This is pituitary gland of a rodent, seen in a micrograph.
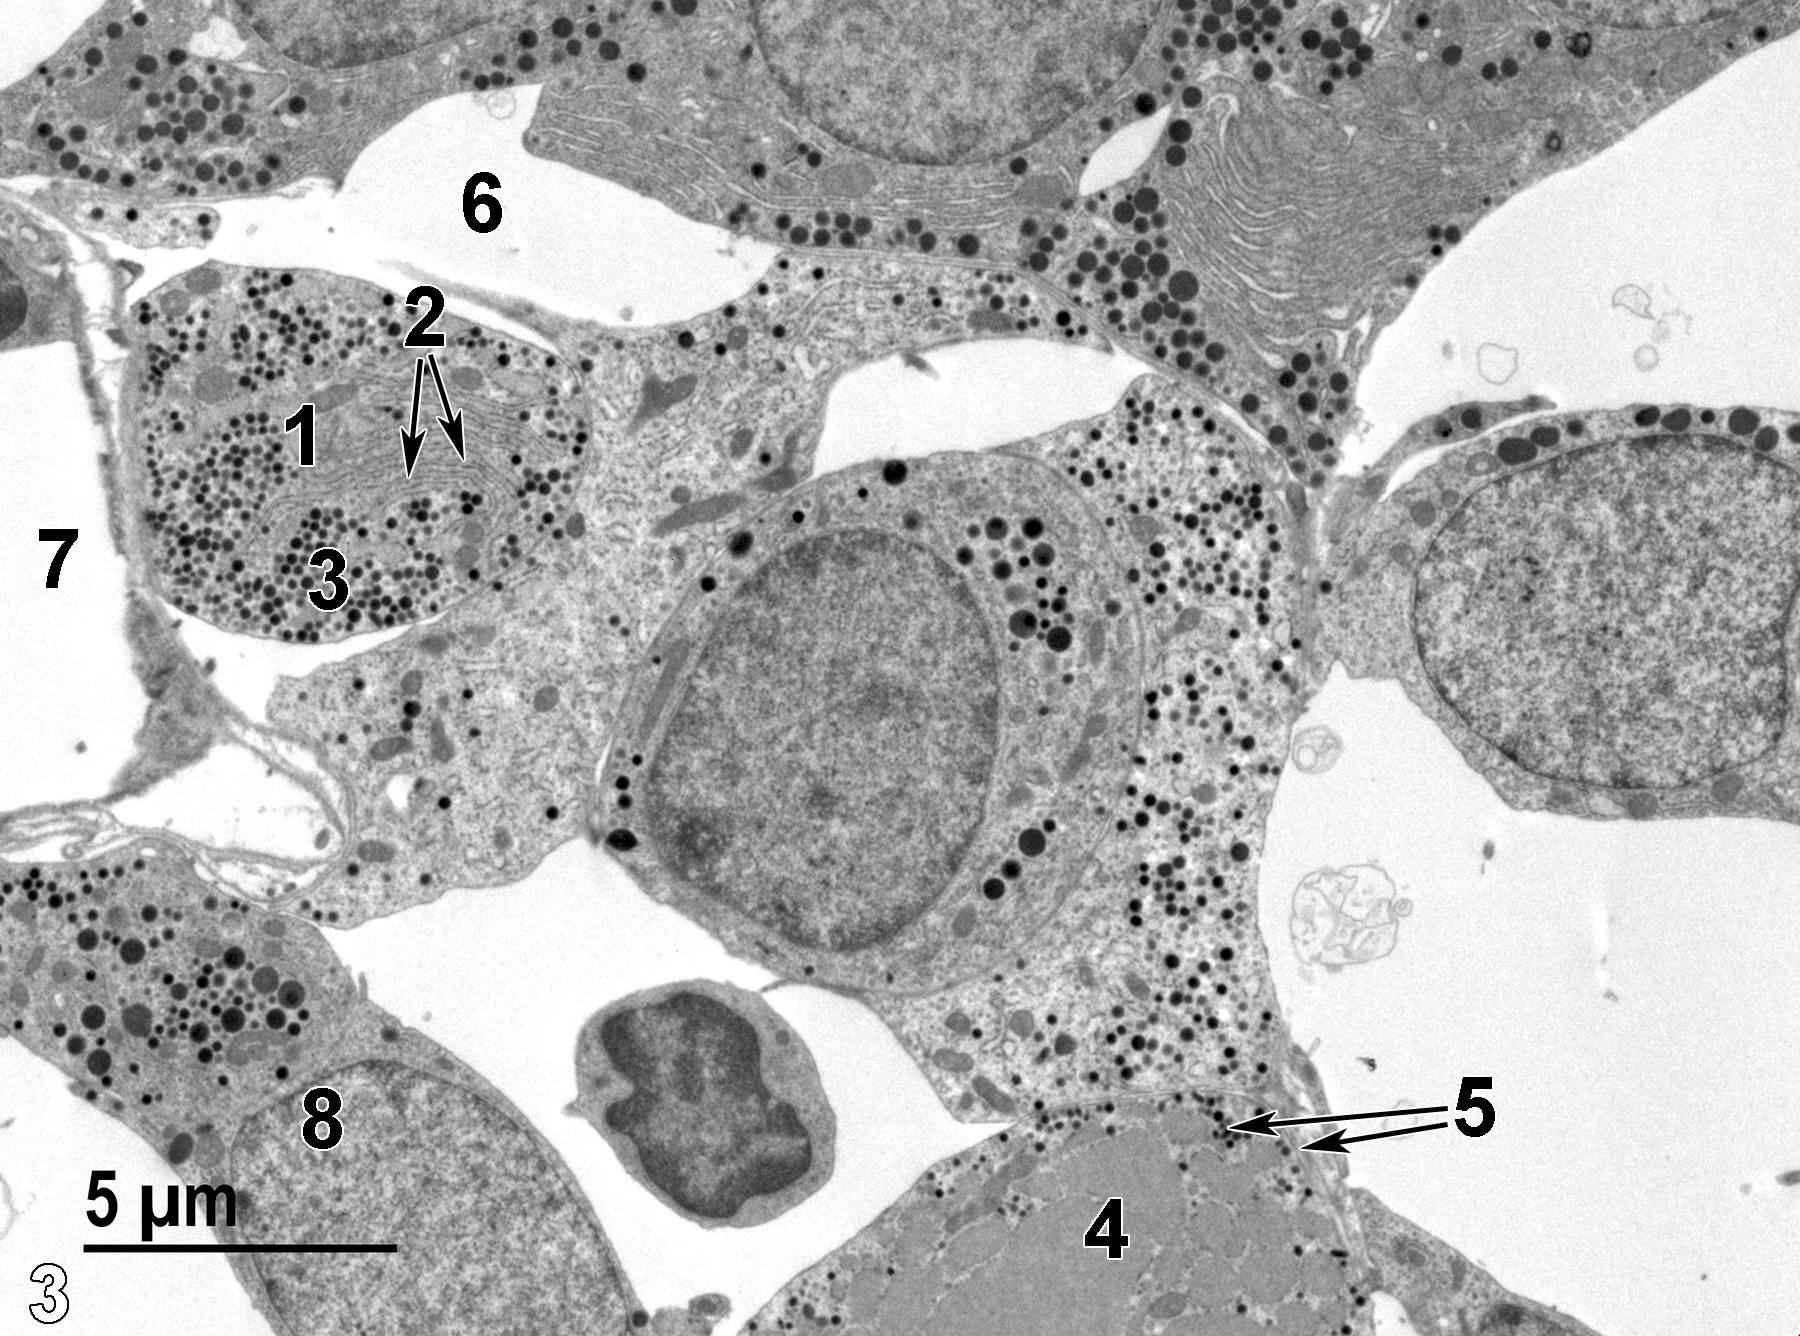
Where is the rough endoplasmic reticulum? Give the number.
2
